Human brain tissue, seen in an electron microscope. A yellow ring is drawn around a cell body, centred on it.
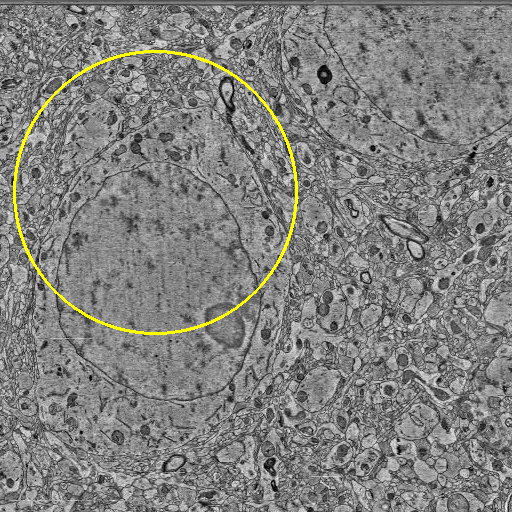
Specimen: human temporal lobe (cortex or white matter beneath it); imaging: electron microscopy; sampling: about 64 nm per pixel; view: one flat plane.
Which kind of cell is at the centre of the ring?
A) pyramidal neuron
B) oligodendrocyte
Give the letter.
A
